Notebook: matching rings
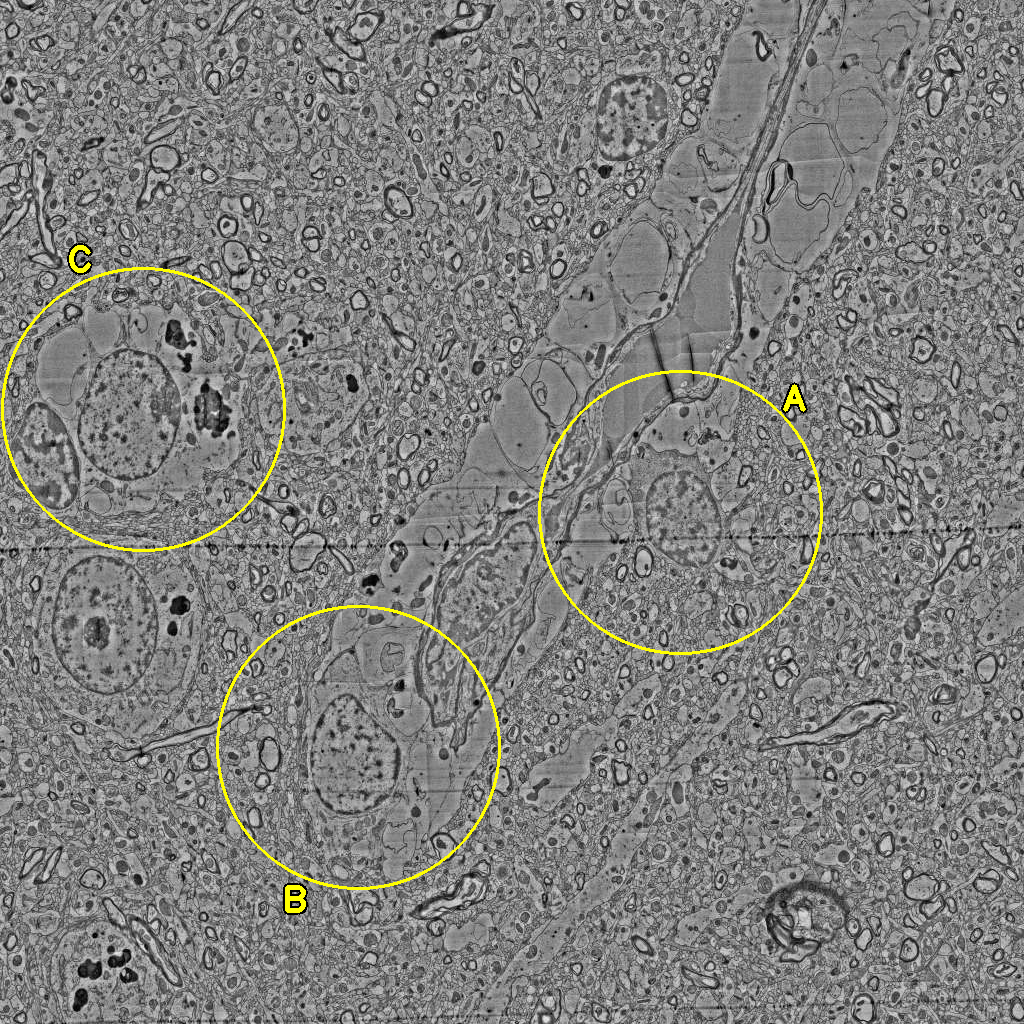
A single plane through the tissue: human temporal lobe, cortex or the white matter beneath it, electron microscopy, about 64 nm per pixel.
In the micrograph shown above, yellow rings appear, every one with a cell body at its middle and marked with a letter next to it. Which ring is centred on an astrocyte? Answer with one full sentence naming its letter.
A cell of that kind lies at the centre of the ring lettered C.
